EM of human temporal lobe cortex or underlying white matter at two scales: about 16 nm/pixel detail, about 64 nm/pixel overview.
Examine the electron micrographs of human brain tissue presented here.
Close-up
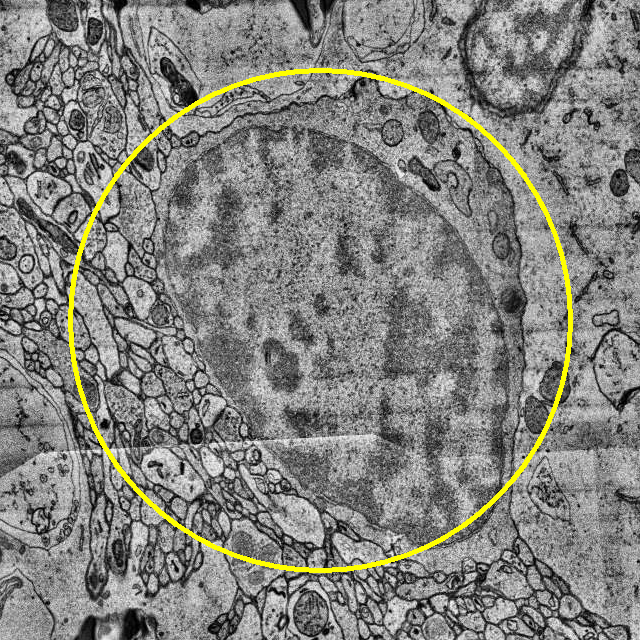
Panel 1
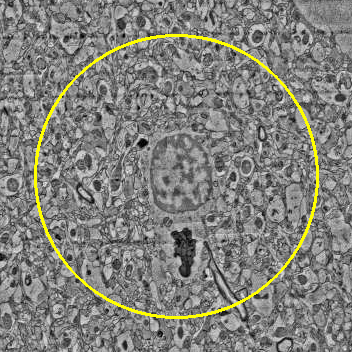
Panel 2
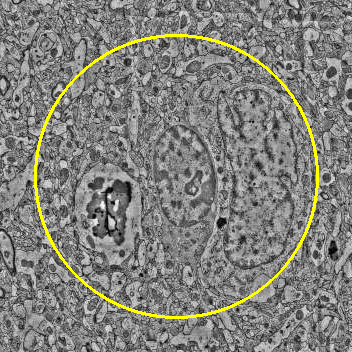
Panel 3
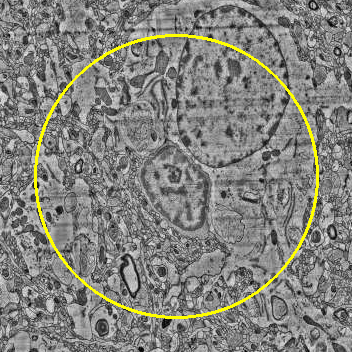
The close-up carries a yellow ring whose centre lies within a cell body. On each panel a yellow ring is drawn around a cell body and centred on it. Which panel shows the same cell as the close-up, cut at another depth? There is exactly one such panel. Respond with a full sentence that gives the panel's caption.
The ring in Panel 3 surrounds the cell that the close-up shows.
